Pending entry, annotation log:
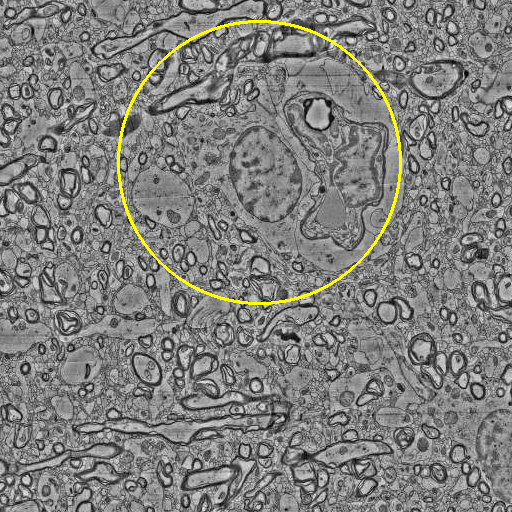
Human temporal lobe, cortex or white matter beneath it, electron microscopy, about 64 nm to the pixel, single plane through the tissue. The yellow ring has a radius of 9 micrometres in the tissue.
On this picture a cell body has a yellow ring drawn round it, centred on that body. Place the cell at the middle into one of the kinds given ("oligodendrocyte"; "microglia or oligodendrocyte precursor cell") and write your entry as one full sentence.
The cell body at the middle of the yellow ring belongs to a microglial cell or oligodendrocyte precursor cell.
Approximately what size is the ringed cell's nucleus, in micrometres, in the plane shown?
About 6 by 4 micrometers for the nucleus, in this plane.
